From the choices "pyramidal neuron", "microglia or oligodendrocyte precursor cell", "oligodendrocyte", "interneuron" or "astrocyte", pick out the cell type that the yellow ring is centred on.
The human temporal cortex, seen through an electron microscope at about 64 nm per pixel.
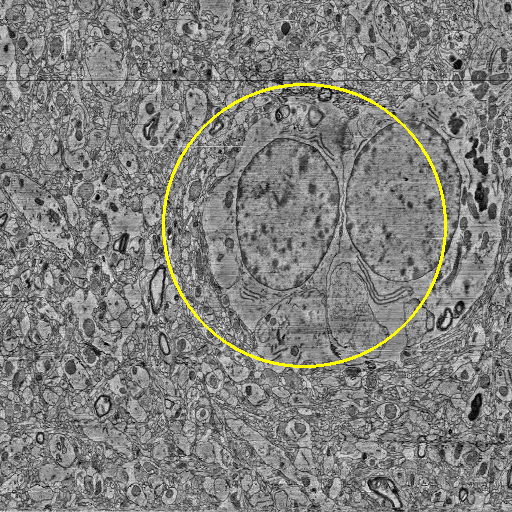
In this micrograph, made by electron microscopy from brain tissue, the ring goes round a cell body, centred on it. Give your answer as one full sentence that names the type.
The yellow ring is centred on an astrocyte, whose cell body it encircles in the picture.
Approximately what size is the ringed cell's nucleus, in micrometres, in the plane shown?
In this plane the nucleus is clearly longer than it is wide: roughly 10 by 7 micrometres.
